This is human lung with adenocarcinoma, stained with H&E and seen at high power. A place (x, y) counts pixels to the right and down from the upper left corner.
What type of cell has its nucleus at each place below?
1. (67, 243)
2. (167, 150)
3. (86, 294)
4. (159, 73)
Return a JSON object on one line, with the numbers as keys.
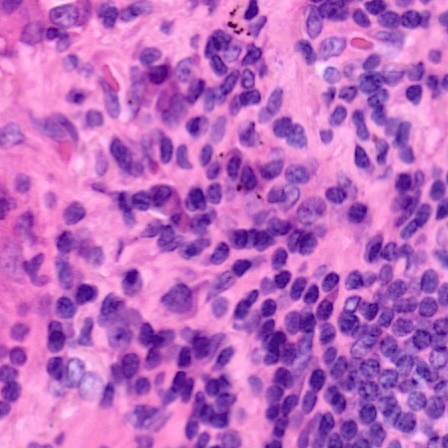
{"1": "lymphocyte", "2": "lymphocyte", "3": "lymphocyte", "4": "plasma cell"}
